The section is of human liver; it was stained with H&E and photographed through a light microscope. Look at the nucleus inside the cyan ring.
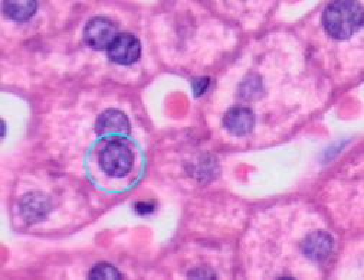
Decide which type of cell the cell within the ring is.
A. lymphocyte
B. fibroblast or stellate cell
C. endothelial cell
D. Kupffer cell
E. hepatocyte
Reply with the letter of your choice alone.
E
